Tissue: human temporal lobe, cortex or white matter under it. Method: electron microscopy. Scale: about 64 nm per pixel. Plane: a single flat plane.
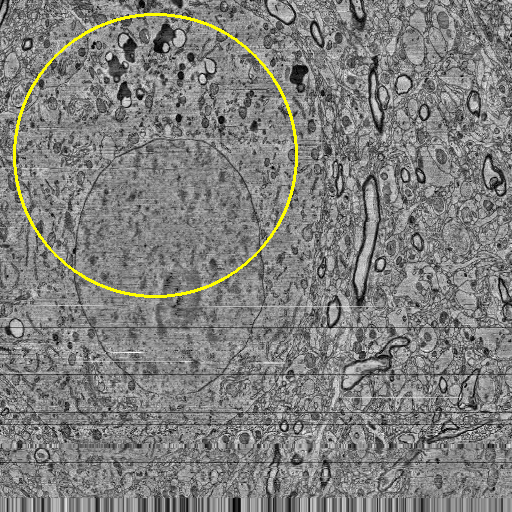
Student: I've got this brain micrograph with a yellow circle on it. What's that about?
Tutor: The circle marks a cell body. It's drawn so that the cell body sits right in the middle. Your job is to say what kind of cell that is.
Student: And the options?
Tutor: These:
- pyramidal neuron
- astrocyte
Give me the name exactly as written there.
pyramidal neuron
